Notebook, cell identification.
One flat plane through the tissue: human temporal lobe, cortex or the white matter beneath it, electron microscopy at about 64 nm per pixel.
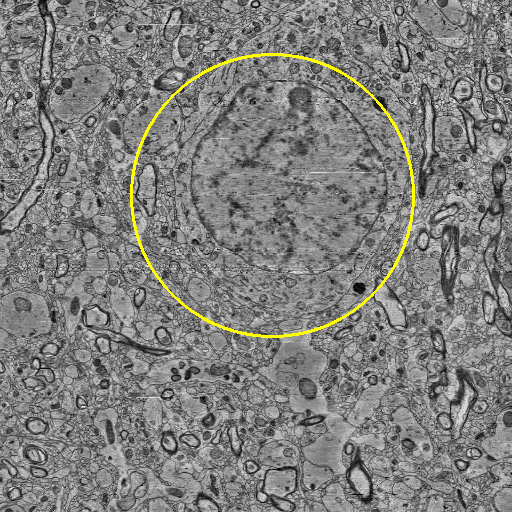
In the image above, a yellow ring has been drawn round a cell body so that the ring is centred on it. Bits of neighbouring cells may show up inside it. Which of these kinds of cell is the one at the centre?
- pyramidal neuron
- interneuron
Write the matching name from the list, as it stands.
interneuron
